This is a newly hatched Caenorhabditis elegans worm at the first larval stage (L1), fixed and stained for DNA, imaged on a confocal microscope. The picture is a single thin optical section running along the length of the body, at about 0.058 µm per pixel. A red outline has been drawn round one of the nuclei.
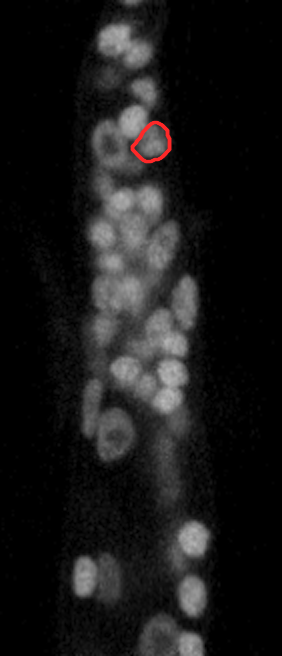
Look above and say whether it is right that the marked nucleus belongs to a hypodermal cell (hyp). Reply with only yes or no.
yes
